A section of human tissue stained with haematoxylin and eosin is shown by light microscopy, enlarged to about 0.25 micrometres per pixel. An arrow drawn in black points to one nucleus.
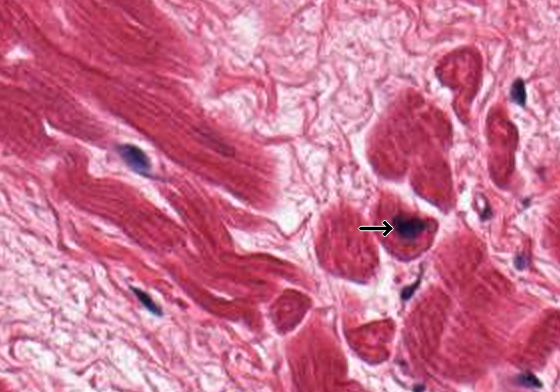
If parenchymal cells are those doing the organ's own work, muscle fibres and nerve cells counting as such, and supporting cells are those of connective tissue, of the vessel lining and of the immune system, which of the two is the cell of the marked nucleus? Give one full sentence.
Seen here, the marked nucleus belongs to a parenchymal cell, namely a cardiomyocyte.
